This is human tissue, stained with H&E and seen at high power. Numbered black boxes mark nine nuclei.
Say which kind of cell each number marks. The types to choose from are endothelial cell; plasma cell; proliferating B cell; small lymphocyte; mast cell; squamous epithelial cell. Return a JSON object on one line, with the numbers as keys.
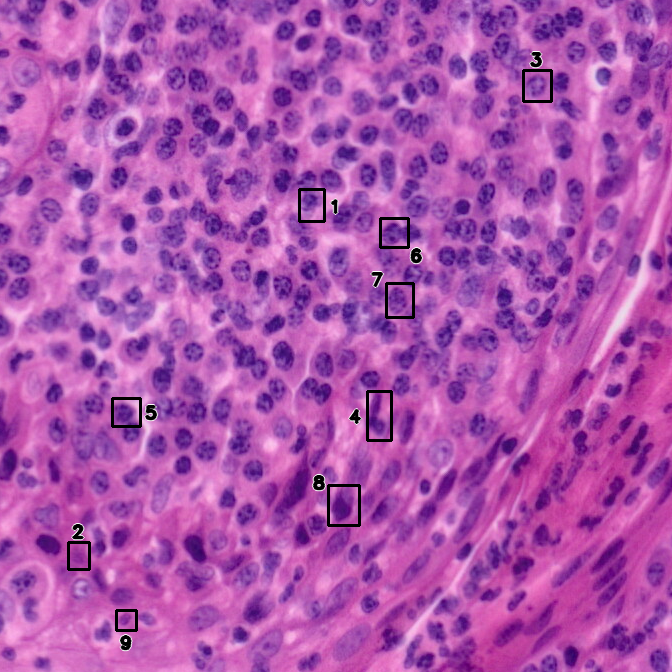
{"1": "plasma cell", "2": "squamous epithelial cell", "3": "plasma cell", "4": "squamous epithelial cell", "5": "plasma cell", "6": "plasma cell", "7": "plasma cell", "8": "squamous epithelial cell", "9": "squamous epithelial cell"}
